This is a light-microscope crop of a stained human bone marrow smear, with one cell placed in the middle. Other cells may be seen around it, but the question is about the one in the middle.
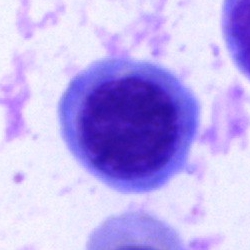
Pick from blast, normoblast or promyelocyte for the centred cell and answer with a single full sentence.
The centered cell in this crop is a normoblast.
